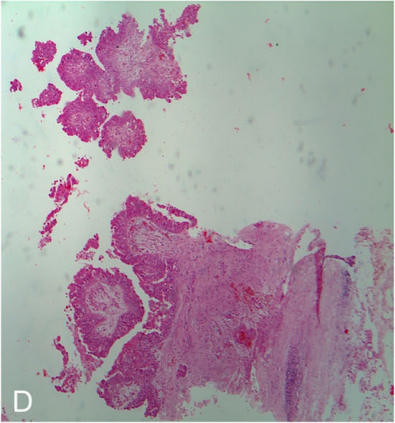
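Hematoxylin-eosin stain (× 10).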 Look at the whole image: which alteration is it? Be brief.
Papillary pattern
